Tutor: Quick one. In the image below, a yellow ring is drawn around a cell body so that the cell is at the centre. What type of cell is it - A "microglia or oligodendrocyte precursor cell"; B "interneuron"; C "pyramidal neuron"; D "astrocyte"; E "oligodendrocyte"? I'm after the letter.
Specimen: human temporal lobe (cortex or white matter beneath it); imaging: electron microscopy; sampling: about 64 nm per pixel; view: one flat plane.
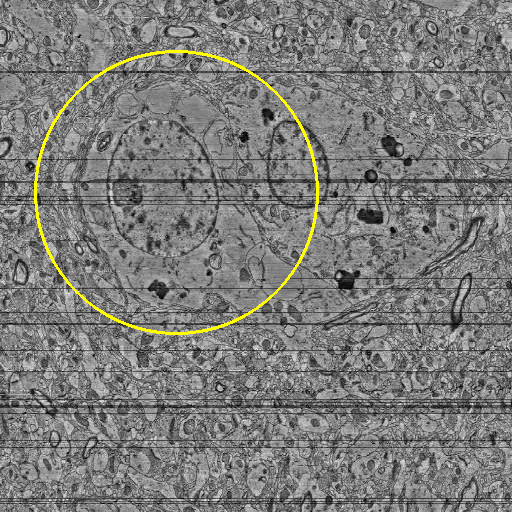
D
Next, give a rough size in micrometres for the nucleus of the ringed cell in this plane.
Approximately 9 micrometres long and 7 micrometres wide, in this plane.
